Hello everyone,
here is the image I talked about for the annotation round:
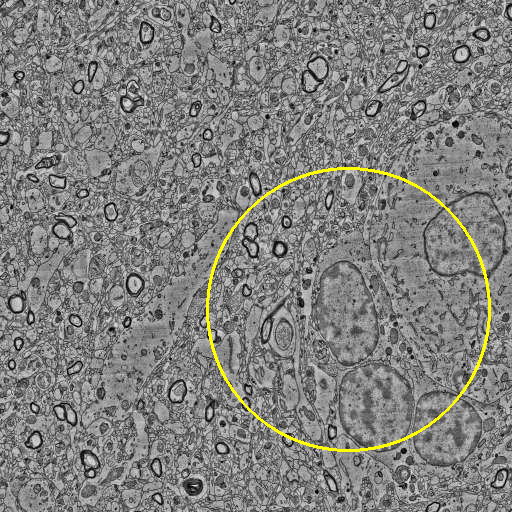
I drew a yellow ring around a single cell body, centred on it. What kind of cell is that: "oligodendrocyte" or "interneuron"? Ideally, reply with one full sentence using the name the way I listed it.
The cell your yellow ring is centred on is an oligodendrocyte, going by your list.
